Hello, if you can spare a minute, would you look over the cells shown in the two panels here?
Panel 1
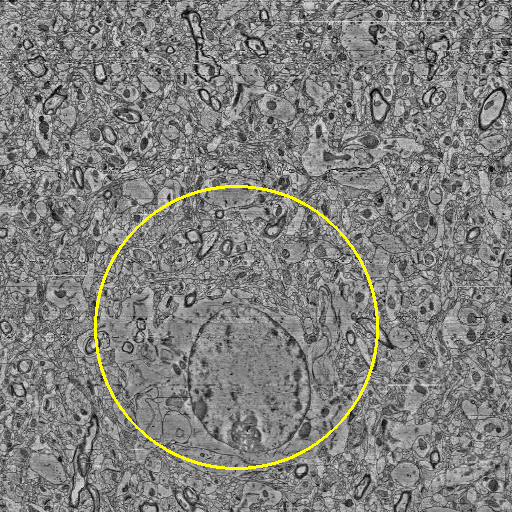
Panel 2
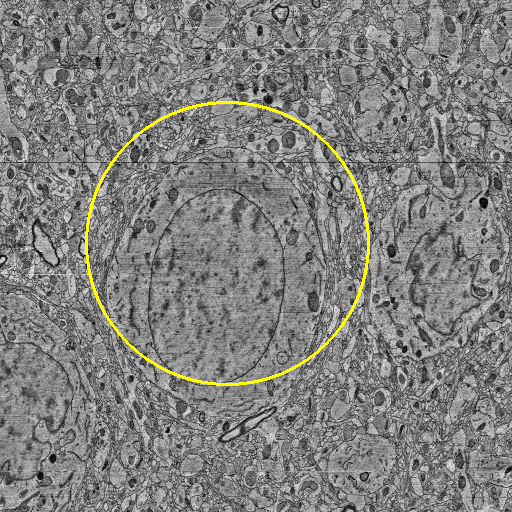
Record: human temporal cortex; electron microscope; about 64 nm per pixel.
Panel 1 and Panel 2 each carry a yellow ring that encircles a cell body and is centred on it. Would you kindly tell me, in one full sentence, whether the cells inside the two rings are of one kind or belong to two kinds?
The cells at the centres of the rings in Panel 1 and Panel 2 belong to two kinds.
